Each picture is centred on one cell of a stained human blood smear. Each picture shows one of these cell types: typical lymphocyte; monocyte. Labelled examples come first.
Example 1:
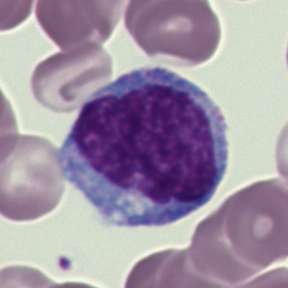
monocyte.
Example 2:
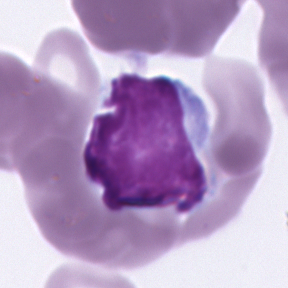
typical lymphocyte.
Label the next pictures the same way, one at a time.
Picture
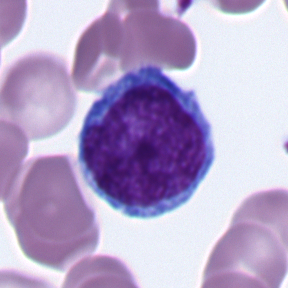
monocyte.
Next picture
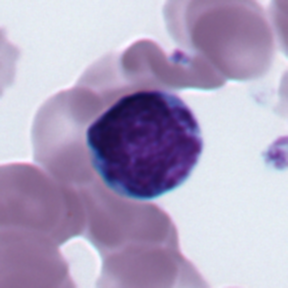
typical lymphocyte.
